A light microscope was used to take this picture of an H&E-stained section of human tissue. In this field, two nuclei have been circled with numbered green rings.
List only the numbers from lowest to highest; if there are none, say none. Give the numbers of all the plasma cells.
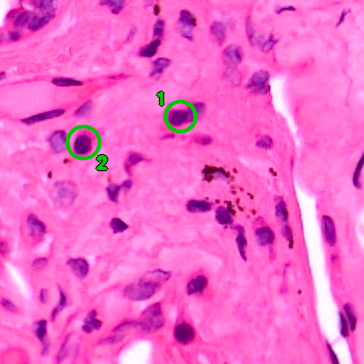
2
